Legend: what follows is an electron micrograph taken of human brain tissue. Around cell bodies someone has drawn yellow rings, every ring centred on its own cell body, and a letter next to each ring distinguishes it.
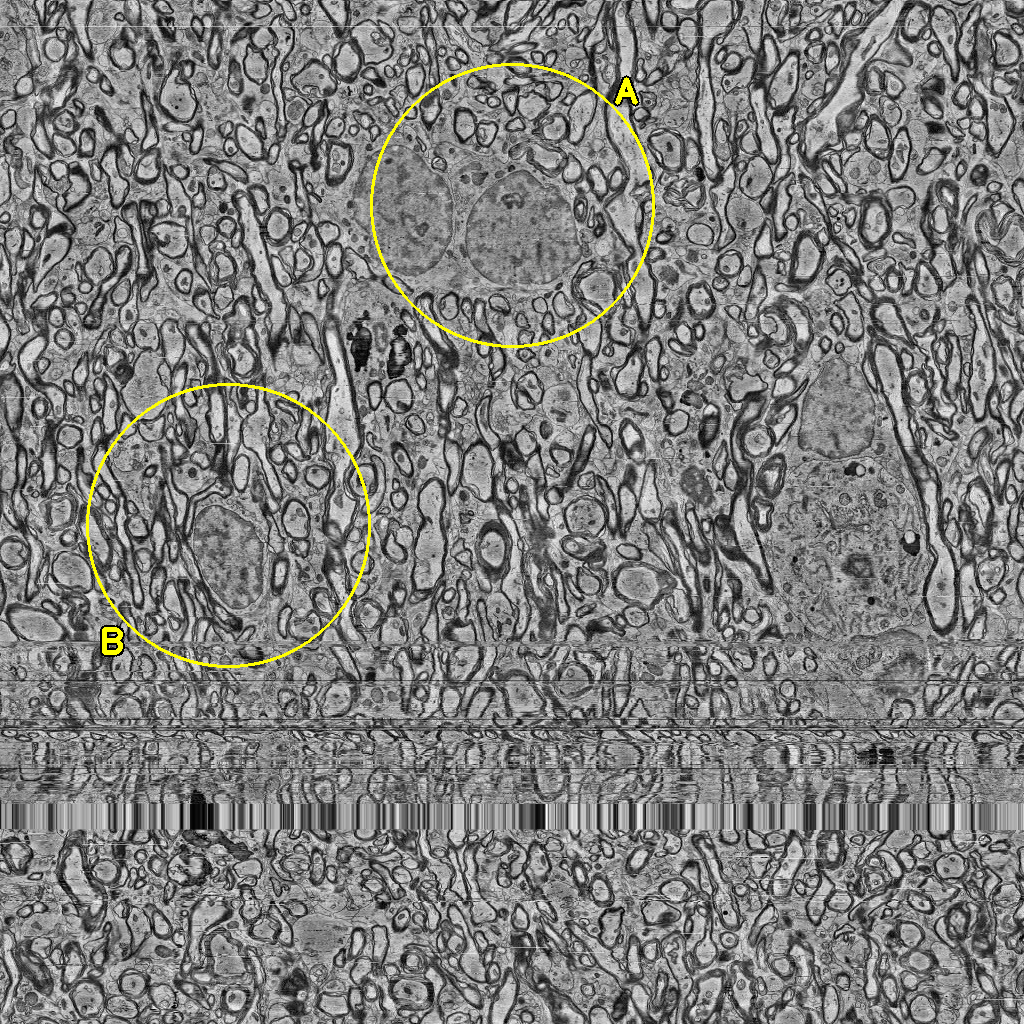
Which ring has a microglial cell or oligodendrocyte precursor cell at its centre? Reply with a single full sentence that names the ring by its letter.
Ring B is the one centred on the cell asked for in the picture.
